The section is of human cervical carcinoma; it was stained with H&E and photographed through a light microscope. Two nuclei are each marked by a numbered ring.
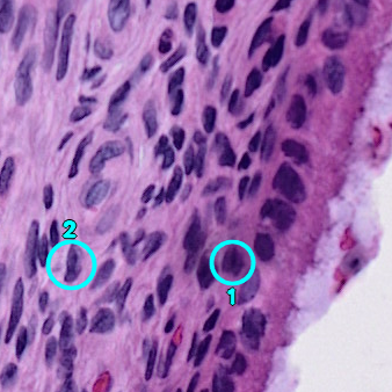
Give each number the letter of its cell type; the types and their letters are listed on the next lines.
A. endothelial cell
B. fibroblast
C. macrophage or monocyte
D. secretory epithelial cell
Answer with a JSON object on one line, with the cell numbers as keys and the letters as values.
{"1": "D", "2": "B"}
